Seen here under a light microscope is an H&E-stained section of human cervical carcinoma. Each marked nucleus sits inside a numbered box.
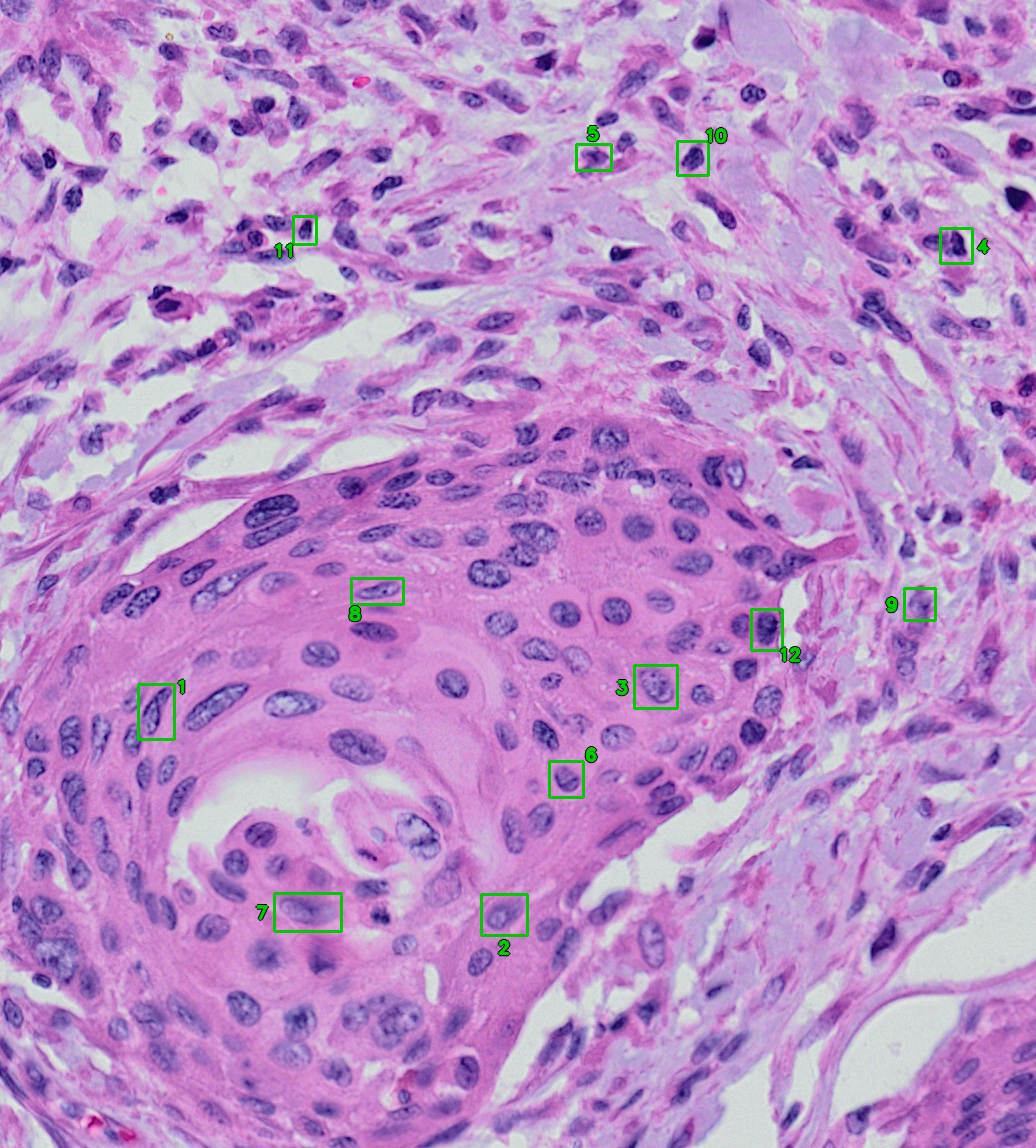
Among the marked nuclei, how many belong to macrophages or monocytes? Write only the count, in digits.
1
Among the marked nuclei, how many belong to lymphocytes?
3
